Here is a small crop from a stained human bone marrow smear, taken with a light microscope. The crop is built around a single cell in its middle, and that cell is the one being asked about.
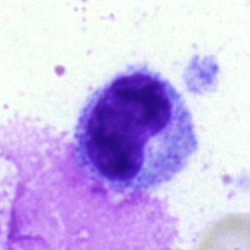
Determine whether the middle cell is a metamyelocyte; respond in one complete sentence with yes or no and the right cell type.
Yes, placed in the middle of the crop is a metamyelocyte.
